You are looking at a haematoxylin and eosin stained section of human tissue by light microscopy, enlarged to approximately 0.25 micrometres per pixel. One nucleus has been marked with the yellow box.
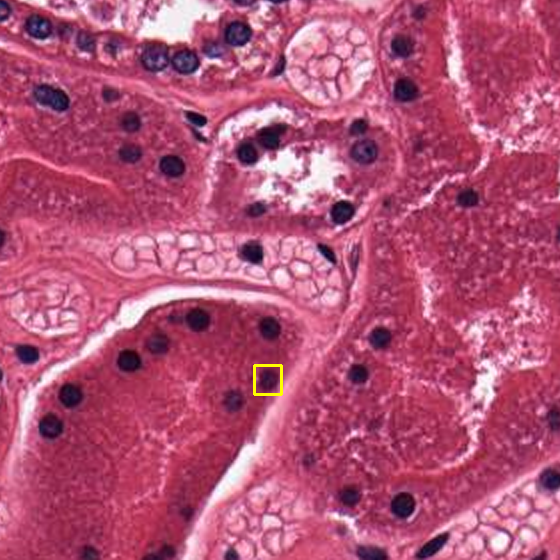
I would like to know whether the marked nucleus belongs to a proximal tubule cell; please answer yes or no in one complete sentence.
Yes, the marked nucleus is a nucleus of a proximal tubule cell.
